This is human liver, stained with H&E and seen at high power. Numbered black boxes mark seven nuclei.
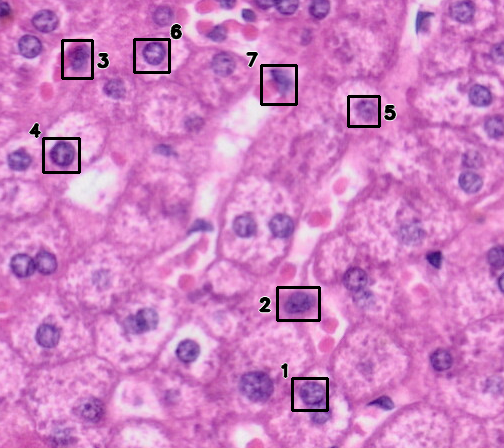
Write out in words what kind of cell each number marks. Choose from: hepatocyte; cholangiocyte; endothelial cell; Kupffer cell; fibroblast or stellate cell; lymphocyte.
Cells 1, 4, 5 and 6 are hepatocytes. Cells 2 and 3 are Kupffer cells. Cell 7 is an endothelial cell.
